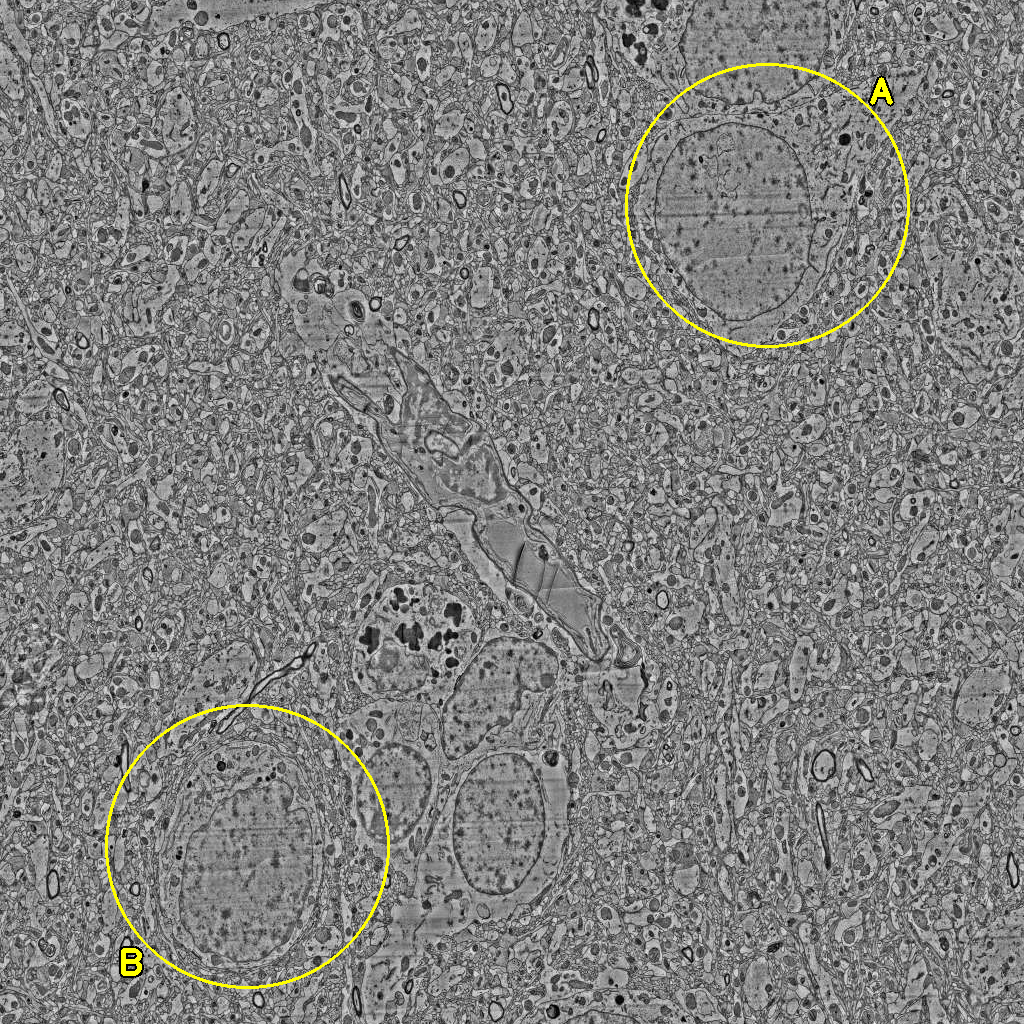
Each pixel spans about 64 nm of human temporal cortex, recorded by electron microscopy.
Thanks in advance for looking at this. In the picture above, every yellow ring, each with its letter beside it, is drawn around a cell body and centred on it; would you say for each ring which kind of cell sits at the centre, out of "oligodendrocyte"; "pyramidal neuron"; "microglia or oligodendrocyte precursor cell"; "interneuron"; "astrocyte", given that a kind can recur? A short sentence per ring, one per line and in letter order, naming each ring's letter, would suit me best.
The cell body in ring A belongs to a pyramidal neuron.
The cell body in ring B belongs to an interneuron.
